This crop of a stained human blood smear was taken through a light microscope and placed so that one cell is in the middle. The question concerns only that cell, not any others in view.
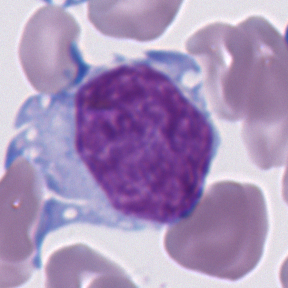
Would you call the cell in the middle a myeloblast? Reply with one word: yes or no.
yes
